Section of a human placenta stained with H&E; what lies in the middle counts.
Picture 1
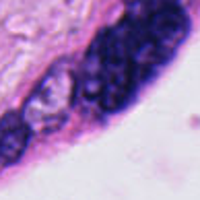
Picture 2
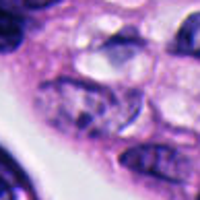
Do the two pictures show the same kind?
No: a syncytial knot, then a cytotrophoblast.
